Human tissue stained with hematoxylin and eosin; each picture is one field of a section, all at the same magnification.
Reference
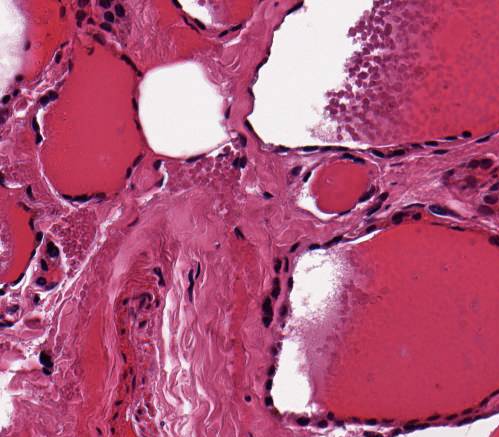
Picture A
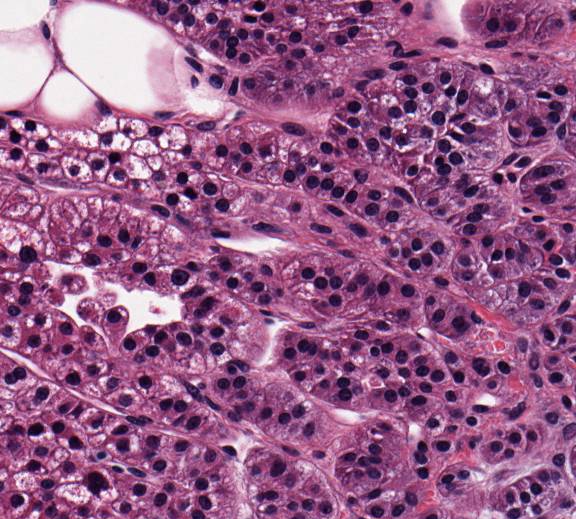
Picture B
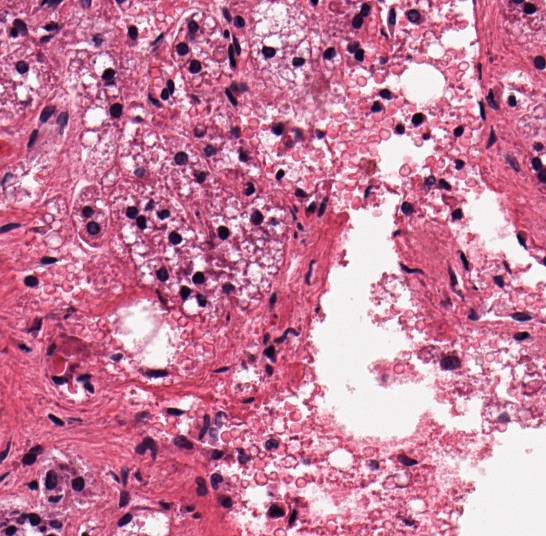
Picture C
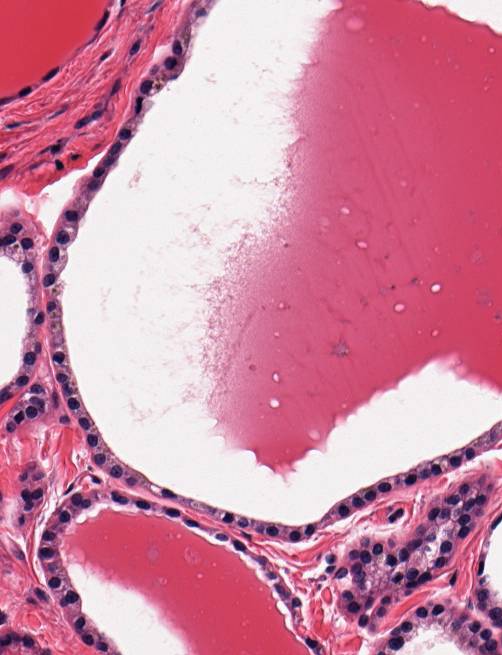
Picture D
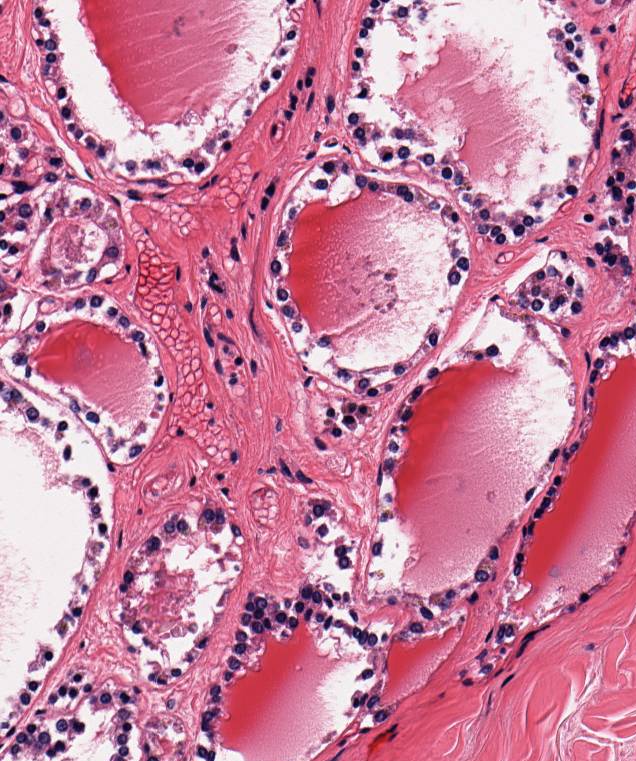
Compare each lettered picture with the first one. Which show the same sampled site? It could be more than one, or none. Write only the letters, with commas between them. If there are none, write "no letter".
C, D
